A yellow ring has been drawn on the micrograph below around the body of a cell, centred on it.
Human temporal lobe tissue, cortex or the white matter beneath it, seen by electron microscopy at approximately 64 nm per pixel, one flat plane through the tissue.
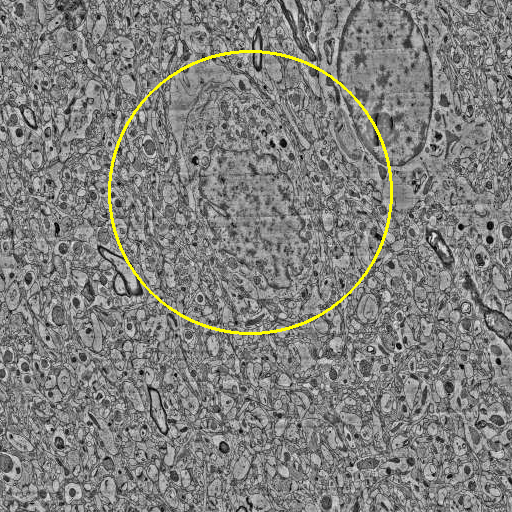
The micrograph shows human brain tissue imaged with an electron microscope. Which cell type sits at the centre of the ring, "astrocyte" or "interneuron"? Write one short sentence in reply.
The cell sitting at the centre of the ring is an interneuron.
